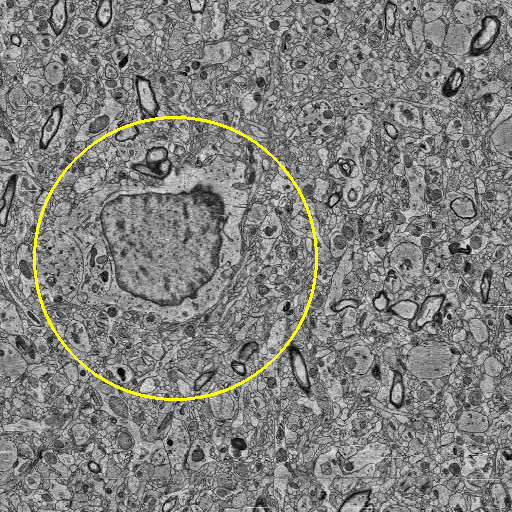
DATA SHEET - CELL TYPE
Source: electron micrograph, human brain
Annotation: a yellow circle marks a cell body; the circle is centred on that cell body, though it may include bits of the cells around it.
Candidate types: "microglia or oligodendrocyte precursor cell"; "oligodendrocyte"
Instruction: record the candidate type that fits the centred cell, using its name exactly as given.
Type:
microglia or oligodendrocyte precursor cell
